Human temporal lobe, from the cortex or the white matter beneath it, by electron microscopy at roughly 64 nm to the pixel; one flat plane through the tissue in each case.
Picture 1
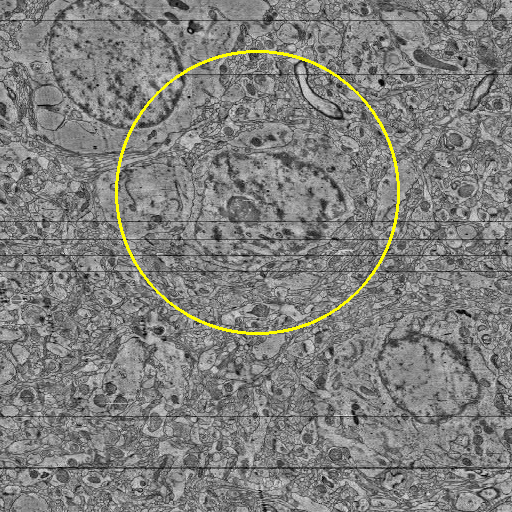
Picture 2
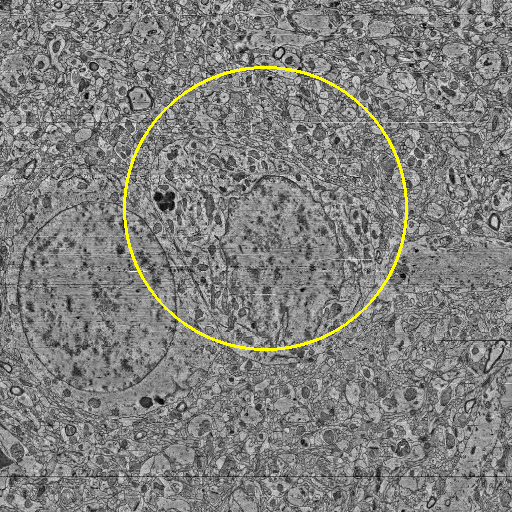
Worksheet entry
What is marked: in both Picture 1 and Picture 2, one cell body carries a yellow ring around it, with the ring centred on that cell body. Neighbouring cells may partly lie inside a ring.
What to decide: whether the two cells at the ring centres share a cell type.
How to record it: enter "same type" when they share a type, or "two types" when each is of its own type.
same type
